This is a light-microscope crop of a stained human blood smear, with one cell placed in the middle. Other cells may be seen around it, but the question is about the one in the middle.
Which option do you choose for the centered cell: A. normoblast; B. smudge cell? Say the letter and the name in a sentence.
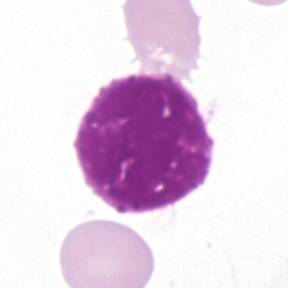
The central cell in this crop is a smudge cell, corresponding to option B, the correct option.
